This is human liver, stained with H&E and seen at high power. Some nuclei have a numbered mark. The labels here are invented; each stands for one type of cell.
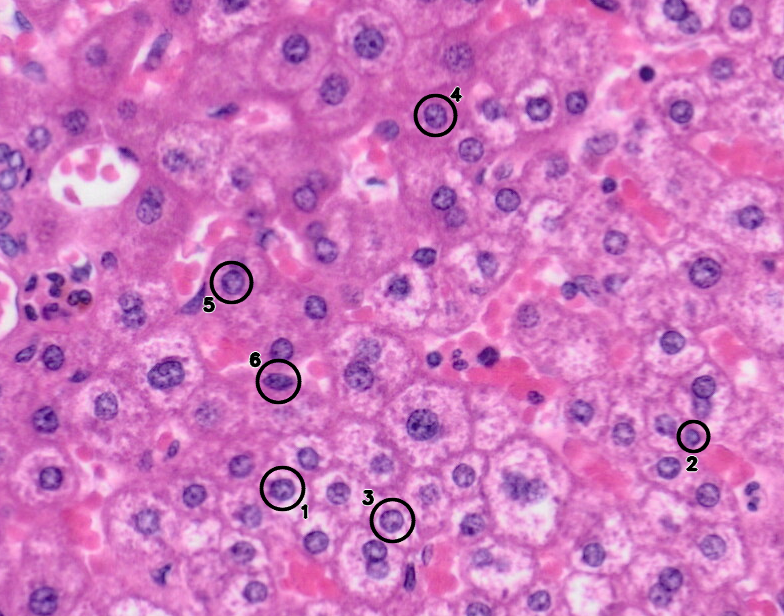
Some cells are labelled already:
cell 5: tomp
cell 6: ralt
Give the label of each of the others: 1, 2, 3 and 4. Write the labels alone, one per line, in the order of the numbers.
tomp
ralt
tomp
tomp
